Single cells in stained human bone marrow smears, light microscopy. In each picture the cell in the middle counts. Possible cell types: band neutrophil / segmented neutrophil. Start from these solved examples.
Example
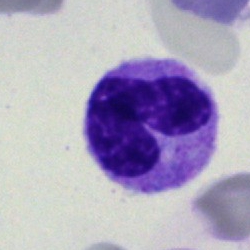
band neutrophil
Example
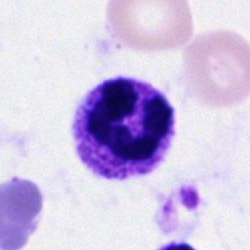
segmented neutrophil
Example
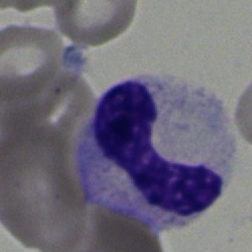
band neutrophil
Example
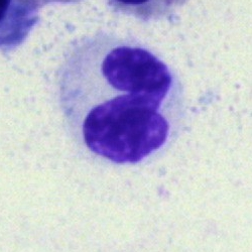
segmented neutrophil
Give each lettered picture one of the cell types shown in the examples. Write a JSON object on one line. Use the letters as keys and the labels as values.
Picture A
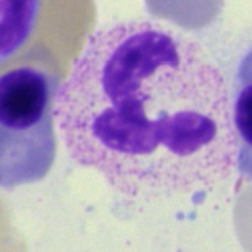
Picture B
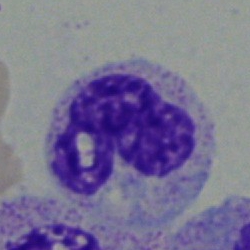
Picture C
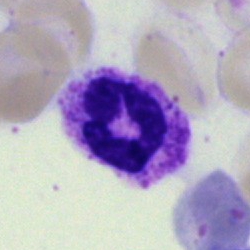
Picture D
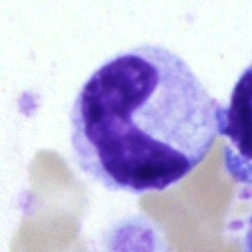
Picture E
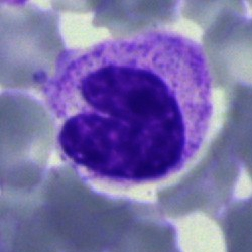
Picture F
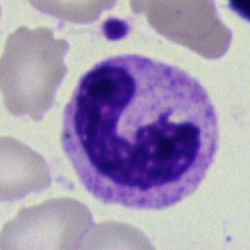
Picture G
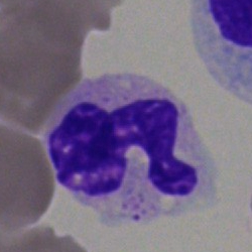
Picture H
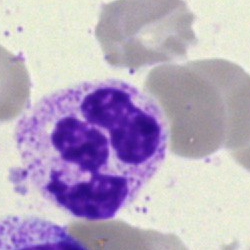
{"A": "segmented neutrophil", "B": "segmented neutrophil", "C": "segmented neutrophil", "D": "band neutrophil", "E": "band neutrophil", "F": "band neutrophil", "G": "segmented neutrophil", "H": "segmented neutrophil"}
